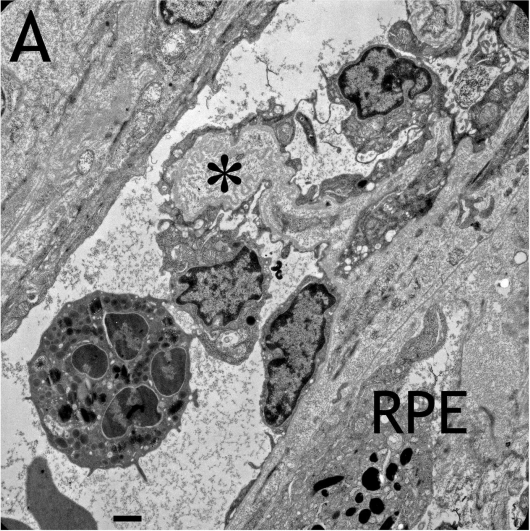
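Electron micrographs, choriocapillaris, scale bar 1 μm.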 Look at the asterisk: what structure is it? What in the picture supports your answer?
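The asterisk lies on a pale, finely fibrillar area without a nucleus. This area is wrapped by thin cell membranes bulging into the open lumen. So: extracellular matrix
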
